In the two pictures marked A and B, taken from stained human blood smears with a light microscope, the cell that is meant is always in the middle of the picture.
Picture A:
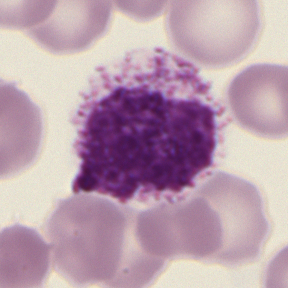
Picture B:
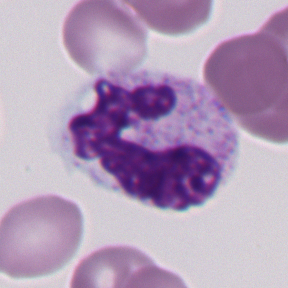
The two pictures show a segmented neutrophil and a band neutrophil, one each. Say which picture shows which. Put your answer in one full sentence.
The cell in picture A is a band neutrophil, and the one in picture B is a segmented neutrophil.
